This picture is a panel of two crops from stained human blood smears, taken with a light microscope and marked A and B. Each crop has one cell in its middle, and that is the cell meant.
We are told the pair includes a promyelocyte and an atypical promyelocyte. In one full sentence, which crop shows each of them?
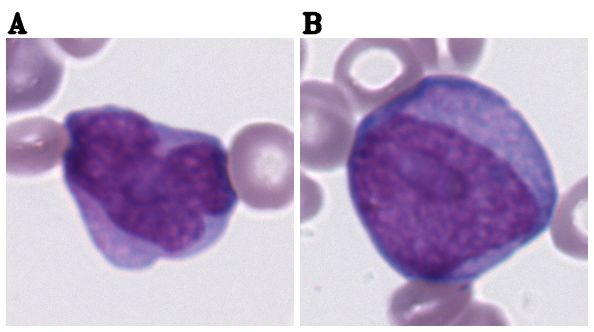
Okay, so crop A is an atypical promyelocyte and crop B is a promyelocyte.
